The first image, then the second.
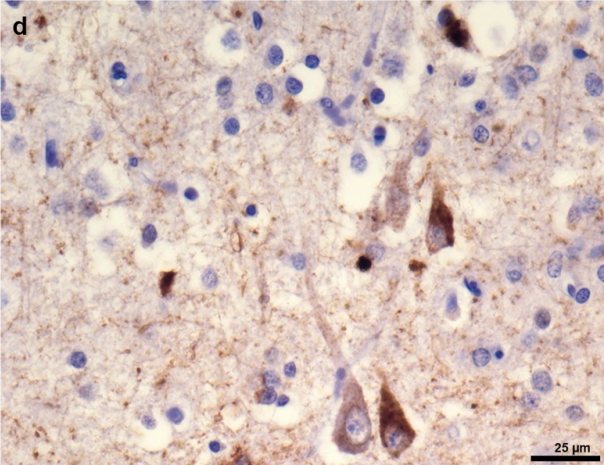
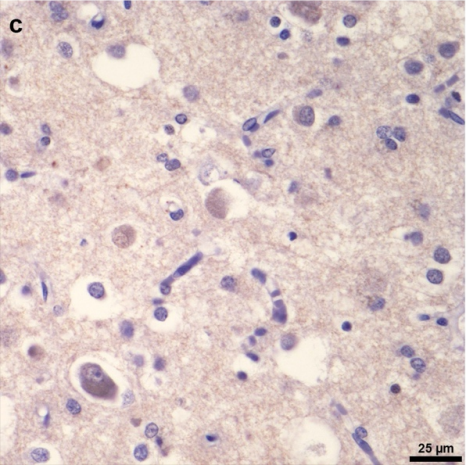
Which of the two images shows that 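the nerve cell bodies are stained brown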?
The first image.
